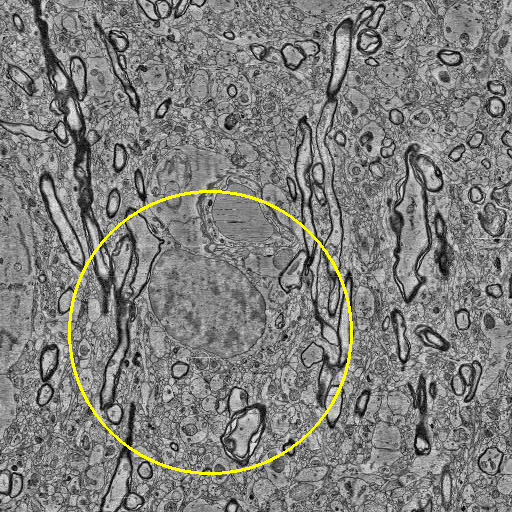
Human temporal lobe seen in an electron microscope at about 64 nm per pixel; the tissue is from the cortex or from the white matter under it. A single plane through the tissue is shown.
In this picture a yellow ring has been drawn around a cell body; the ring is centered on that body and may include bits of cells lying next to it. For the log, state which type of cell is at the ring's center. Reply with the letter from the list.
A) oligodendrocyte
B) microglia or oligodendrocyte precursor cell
A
